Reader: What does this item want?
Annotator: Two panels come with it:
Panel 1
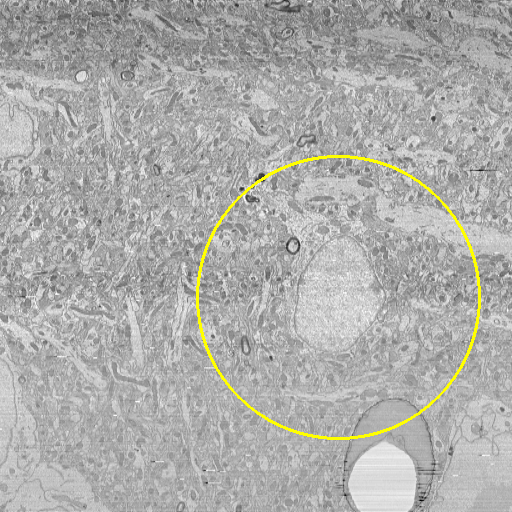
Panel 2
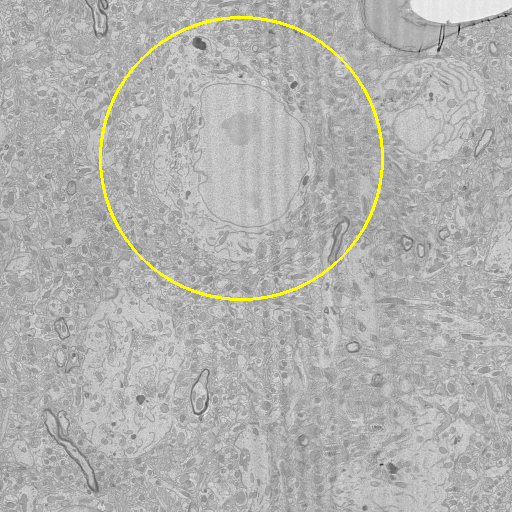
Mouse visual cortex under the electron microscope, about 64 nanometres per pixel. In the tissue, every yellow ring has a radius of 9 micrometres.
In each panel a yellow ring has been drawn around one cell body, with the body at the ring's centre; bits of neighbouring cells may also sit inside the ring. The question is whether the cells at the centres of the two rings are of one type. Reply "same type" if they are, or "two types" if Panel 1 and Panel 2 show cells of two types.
two types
